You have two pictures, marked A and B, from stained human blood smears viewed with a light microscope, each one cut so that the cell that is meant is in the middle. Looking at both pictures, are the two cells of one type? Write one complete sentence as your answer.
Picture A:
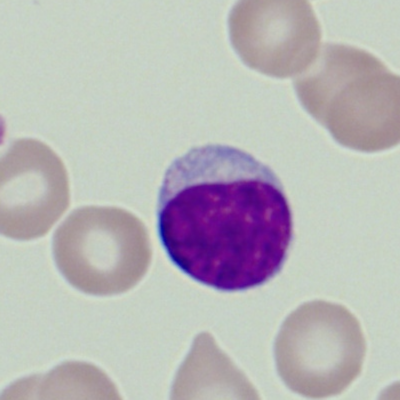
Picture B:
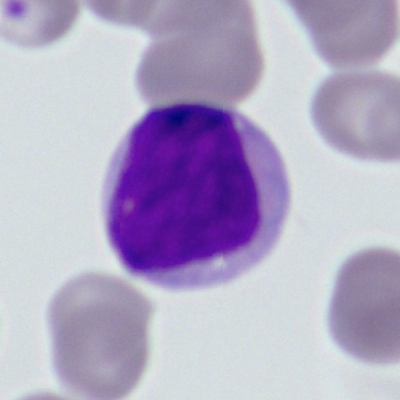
No. Picture A shows a lymphocyte, but picture B shows a myeloblast.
